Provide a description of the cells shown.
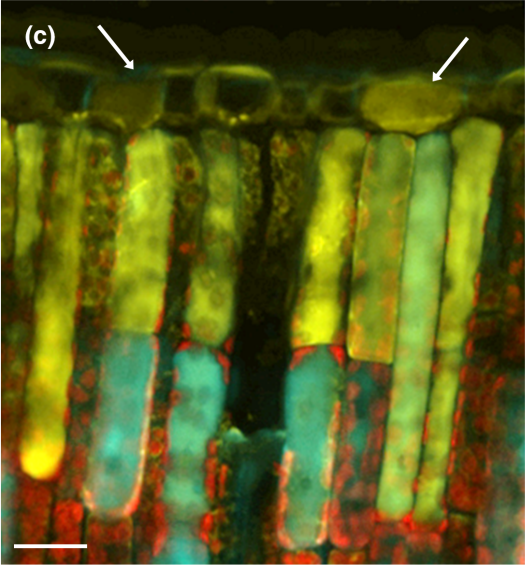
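This section shows the upper side of a leaf, with a single layer of epidermal cells over tall, columnar palisade parenchyma cells. The epidermal cells are flattened and box-like, covered above by a thick outer wall, and several of them are filled with yellow fluorescence. Beneath them the palisade cells stand side by side, elongated perpendicular to the surface, their interiors largely filled with uniform yellow or pale blue-green fluorescence. Small round red chloroplasts line the edges of these cells and fill the narrow spaces between them. Dark gaps between some columns mark intercellular spaces.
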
